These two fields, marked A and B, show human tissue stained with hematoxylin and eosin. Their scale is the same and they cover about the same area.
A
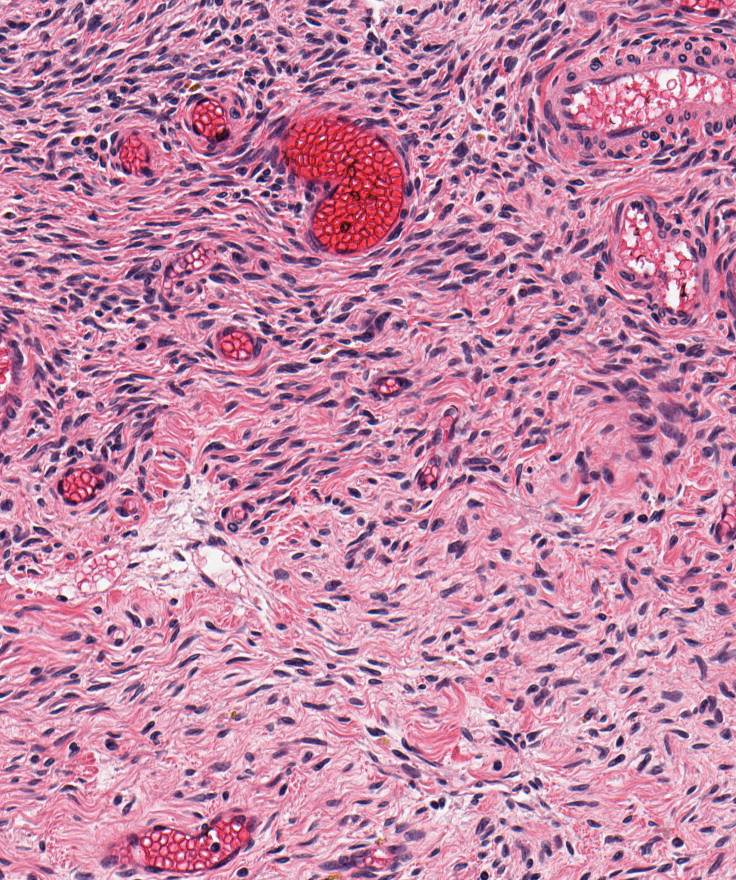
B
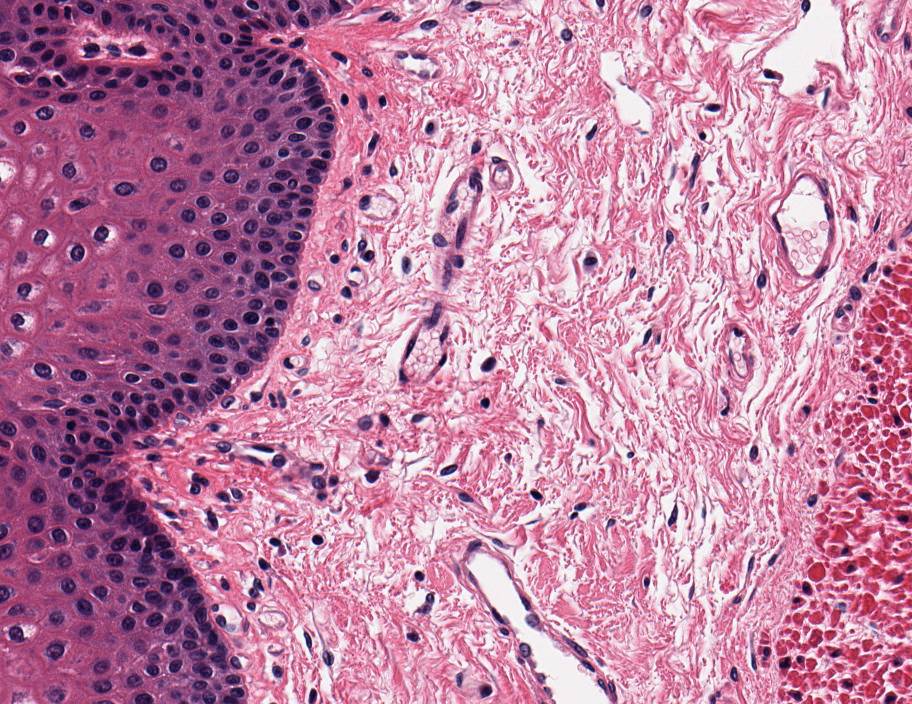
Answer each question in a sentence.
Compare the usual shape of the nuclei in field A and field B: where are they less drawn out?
On the whole the nuclei of field B are rounder than those of field A.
